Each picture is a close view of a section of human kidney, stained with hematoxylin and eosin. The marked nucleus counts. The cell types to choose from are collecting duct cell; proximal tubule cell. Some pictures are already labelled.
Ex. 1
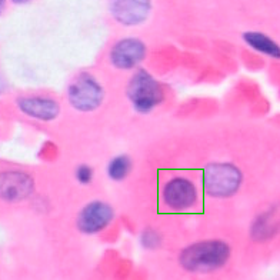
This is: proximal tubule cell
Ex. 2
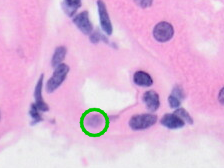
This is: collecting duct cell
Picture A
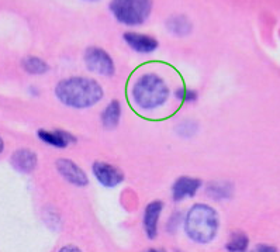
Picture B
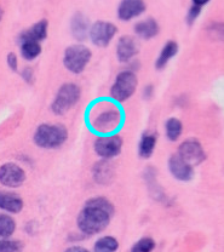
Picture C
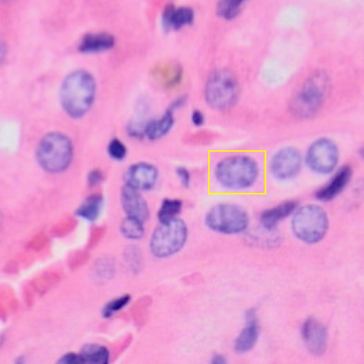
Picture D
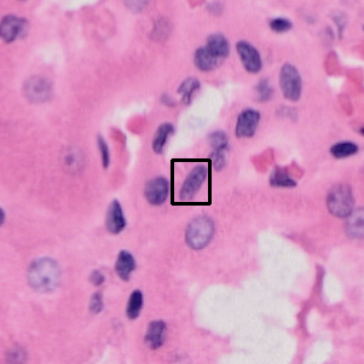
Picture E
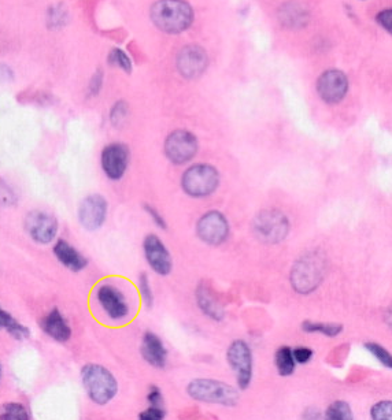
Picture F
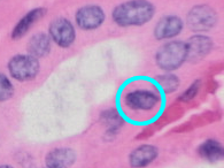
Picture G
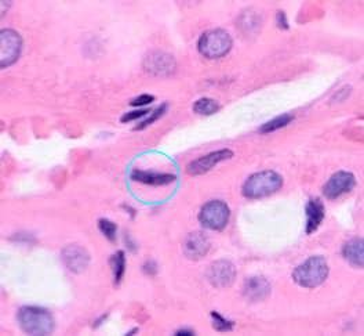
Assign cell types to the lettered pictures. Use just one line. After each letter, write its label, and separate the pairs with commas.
A collecting duct cell, B collecting duct cell, C collecting duct cell, D collecting duct cell, E collecting duct cell, F collecting duct cell, G collecting duct cell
